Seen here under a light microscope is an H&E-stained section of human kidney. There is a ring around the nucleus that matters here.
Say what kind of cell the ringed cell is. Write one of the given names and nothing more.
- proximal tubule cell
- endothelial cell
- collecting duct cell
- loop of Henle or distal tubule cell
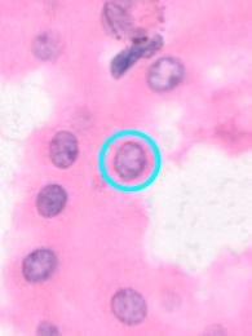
proximal tubule cell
